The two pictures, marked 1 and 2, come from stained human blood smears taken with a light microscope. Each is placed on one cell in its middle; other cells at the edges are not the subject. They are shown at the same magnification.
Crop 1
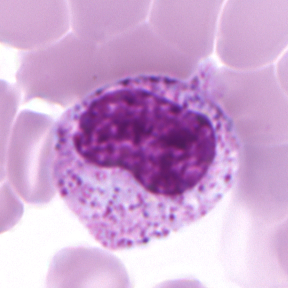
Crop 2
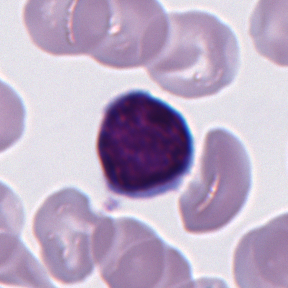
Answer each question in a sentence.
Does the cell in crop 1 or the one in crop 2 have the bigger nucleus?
It is the nucleus in crop 1, about 1.5 times as large in area as the one in crop 2.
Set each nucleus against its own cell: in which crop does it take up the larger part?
It is the cell in crop 2 that is filled more by its nucleus.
